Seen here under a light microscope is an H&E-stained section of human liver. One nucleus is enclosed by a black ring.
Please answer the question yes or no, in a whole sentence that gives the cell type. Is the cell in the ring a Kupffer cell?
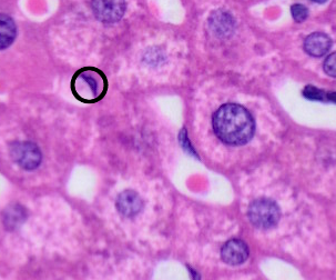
No, the cell in the ring is best named an endothelial cell, not a Kupffer cell.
